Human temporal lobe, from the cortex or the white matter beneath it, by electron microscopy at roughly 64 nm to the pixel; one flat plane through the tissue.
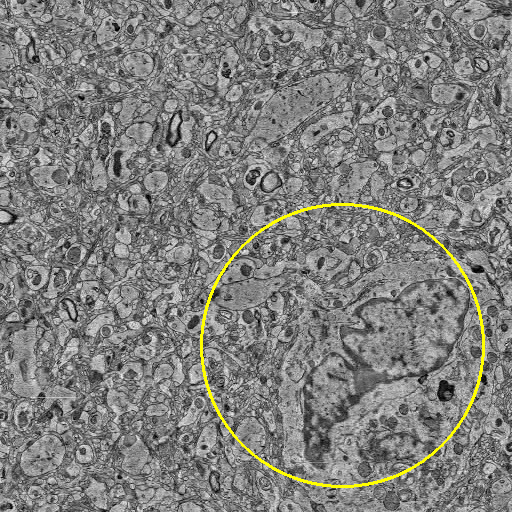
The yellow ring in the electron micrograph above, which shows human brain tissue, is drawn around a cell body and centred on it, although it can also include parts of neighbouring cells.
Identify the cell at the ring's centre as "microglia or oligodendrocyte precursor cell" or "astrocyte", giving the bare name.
microglia or oligodendrocyte precursor cell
